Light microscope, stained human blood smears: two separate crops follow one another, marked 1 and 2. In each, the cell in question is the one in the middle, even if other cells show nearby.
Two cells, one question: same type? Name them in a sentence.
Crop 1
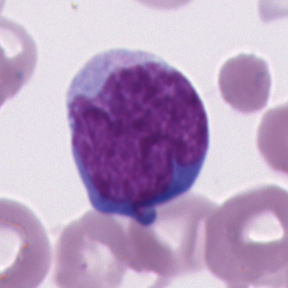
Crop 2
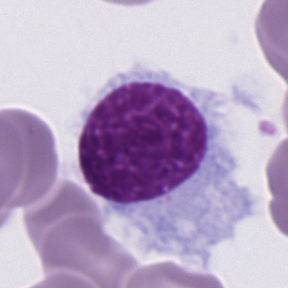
No, a hairy cell is in crop 2, and a myeloblast is in crop 1.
